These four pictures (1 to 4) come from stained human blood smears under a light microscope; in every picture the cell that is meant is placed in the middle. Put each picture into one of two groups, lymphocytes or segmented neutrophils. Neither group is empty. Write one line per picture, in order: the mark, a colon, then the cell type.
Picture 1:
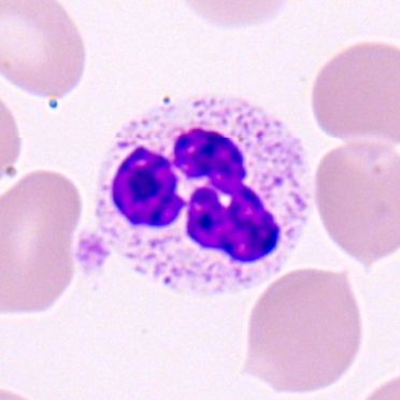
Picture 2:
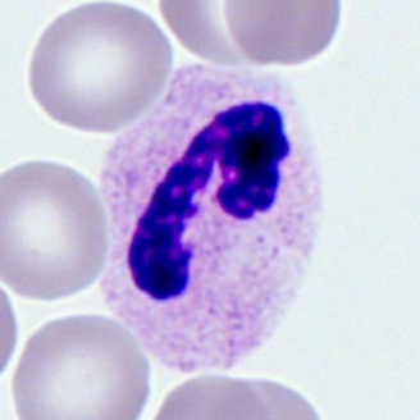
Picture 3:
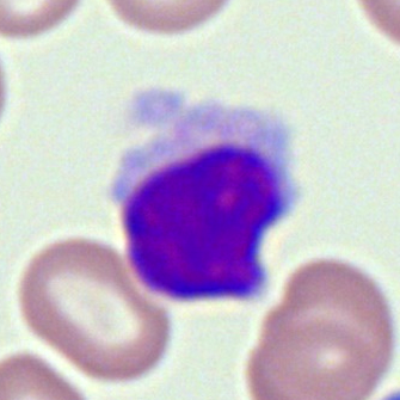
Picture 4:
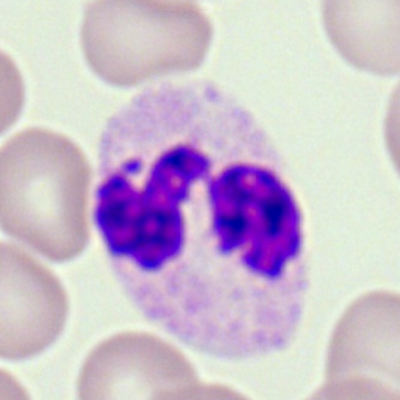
1: segmented neutrophil
2: segmented neutrophil
3: lymphocyte
4: segmented neutrophil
